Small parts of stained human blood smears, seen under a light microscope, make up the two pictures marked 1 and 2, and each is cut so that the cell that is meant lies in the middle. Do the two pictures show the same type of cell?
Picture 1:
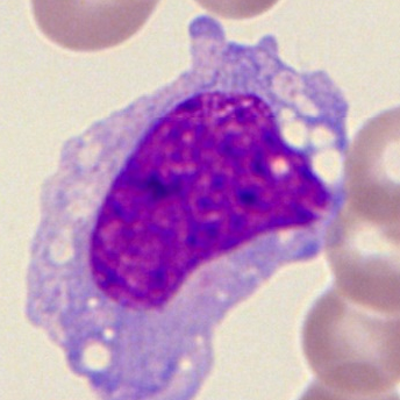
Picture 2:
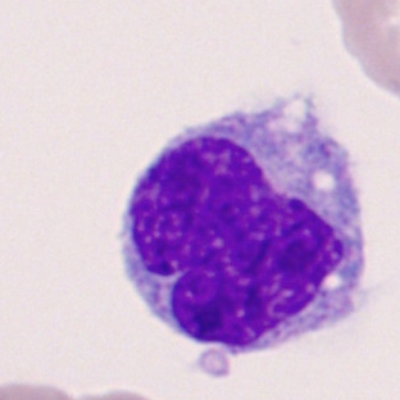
yes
